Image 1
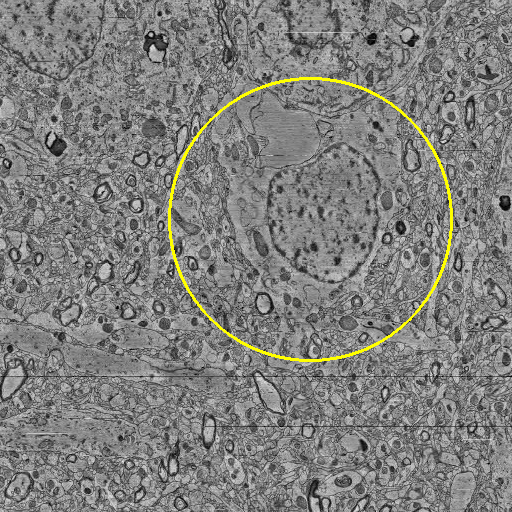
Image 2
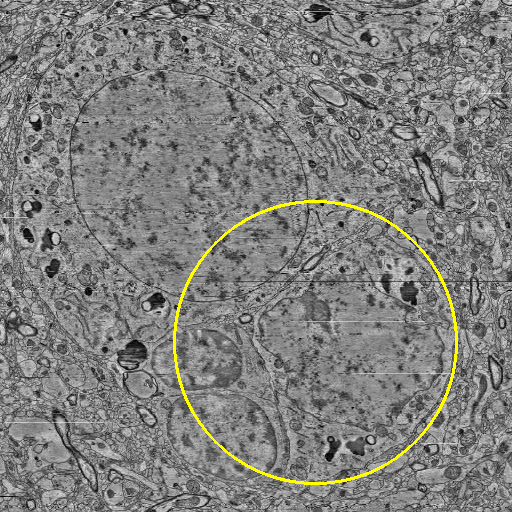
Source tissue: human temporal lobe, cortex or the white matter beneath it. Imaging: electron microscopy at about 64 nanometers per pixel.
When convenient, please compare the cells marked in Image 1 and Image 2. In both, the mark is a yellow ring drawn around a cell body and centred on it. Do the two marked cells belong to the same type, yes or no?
no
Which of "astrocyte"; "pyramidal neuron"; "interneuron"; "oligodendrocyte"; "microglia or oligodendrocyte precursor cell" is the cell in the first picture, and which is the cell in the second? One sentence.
The two differ: the first cell is an astrocyte and the second is an interneuron.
